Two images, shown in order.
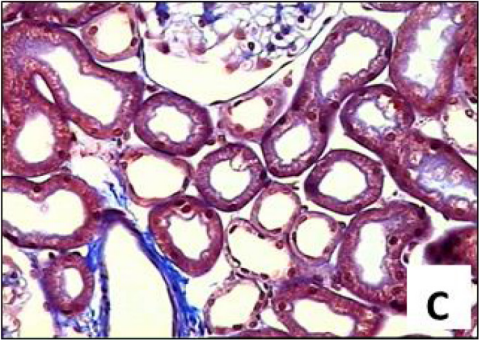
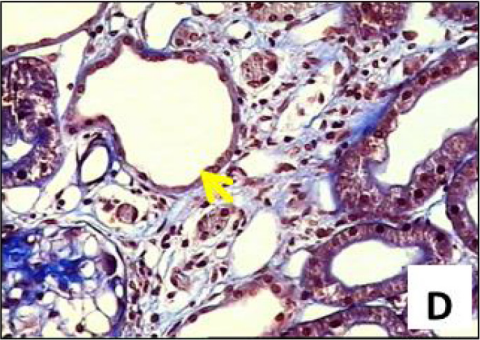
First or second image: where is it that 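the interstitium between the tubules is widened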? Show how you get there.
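Second image: tubules separated by wide bands of blue-fibred, cellular interstitium. First image: tubules lie closely packed with thin interstitium between them. That points to this answer: the second image.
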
